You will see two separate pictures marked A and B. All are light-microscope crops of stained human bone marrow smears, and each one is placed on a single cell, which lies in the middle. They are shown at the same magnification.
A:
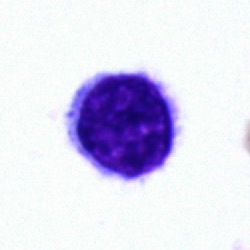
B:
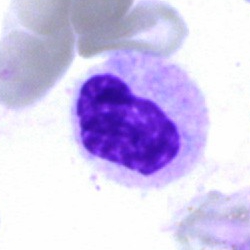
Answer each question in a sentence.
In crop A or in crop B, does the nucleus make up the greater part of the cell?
In crop A the nucleus takes up the larger part of its cell.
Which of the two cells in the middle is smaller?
It is the cell in crop A; the cell in crop B has about 1.5 times its area.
